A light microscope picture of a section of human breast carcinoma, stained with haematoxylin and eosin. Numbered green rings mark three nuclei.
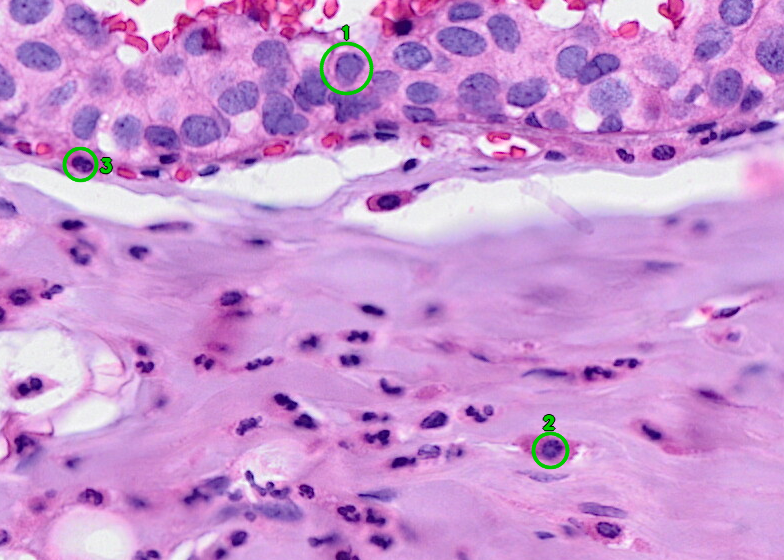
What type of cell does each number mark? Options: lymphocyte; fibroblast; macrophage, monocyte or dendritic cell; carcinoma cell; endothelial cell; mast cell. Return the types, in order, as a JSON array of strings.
["carcinoma cell", "mast cell", "mast cell"]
